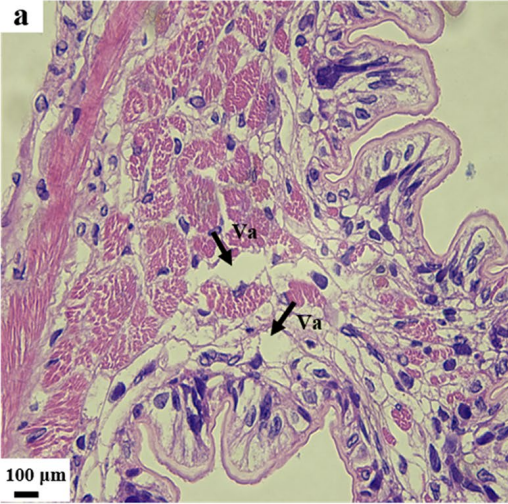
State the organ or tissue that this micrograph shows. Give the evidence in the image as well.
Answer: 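A folded mucosa with finger-like projections lined by a tall epithelium with elongated nuclei. A thick band of pink muscle bundles lies beneath the folds. A thin cuticle-like lining covers the epithelial surface.
Intestine.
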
